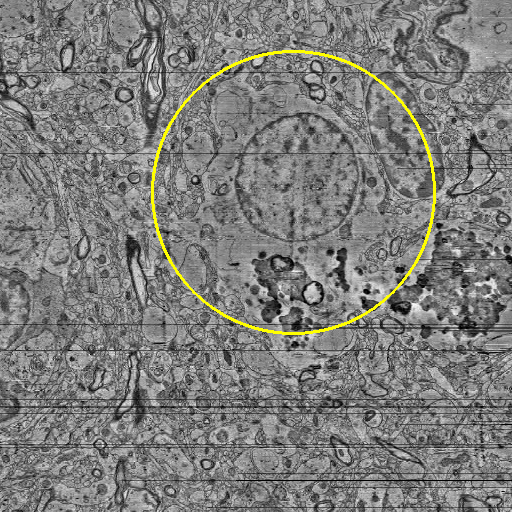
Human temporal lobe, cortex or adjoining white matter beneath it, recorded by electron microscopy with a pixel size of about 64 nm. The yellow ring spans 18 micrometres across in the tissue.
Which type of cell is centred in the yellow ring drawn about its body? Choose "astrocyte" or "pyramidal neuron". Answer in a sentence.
The yellow ring surrounds the cell body of an astrocyte.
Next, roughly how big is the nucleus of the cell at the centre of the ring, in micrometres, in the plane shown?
In this plane the ringed cell's nucleus is roughly 8 micrometres across.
